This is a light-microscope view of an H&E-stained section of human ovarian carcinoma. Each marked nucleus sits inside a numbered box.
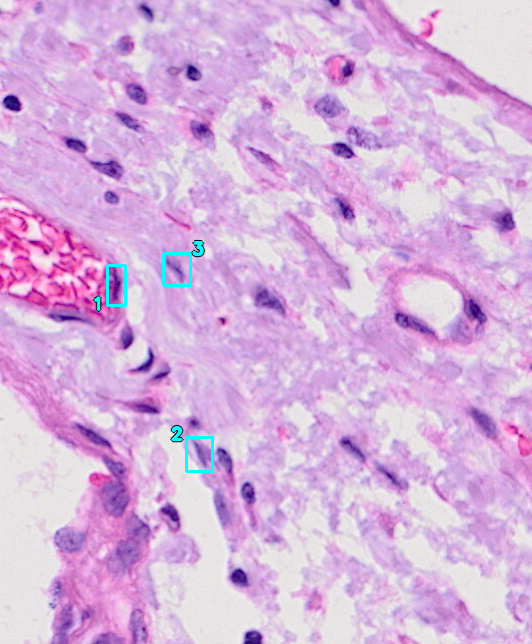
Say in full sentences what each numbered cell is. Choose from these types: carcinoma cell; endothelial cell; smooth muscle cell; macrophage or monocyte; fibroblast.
Cell 1 is an endothelial cell. Cells 2 and 3 are fibroblasts.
